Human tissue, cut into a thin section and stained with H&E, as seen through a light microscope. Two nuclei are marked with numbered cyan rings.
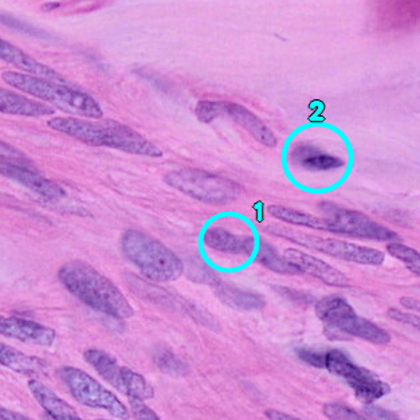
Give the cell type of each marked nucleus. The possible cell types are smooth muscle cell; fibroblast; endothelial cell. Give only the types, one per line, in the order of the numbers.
smooth muscle cell
fibroblast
